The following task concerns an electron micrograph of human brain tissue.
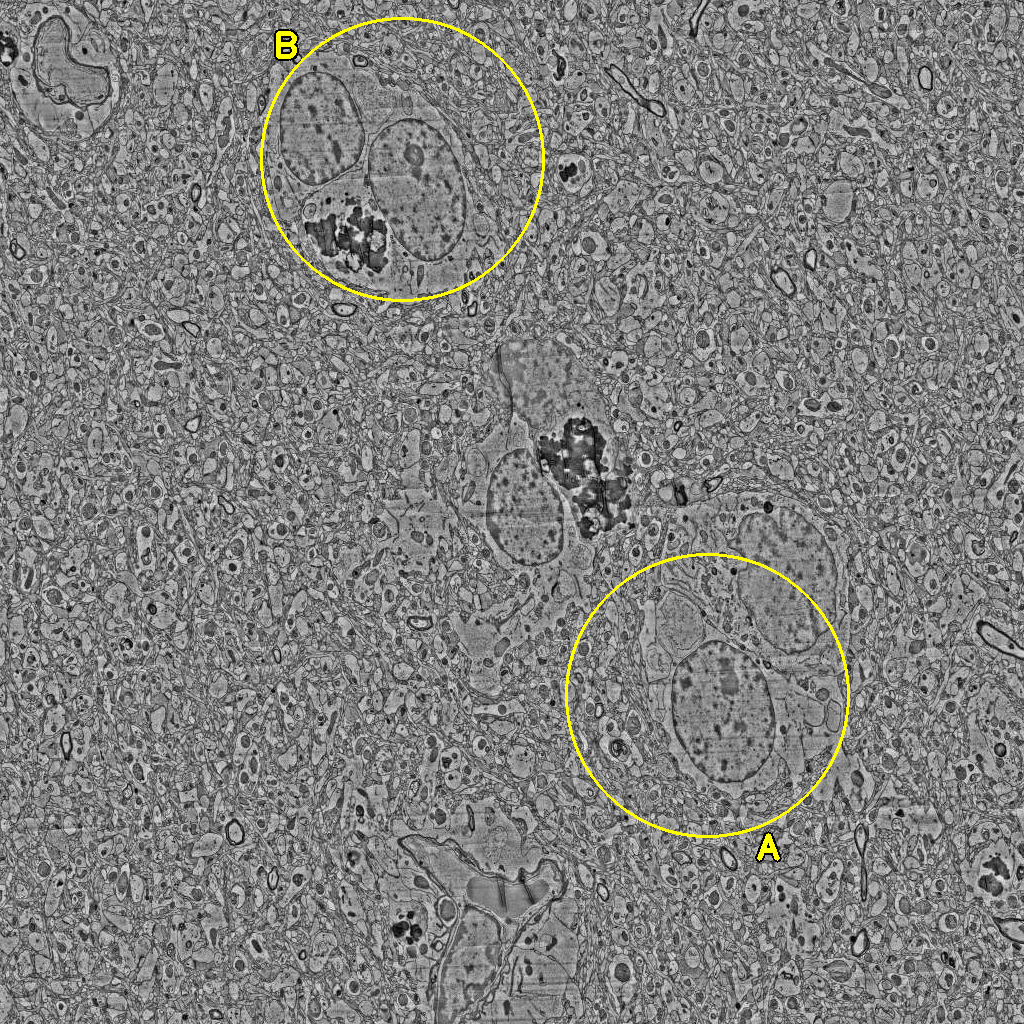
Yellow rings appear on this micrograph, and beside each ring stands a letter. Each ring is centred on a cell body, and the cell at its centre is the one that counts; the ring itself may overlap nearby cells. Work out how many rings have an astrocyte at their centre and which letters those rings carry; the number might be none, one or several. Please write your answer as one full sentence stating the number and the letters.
When the rings with the letters A and B are counted, they come to two, each centred on an astrocyte.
